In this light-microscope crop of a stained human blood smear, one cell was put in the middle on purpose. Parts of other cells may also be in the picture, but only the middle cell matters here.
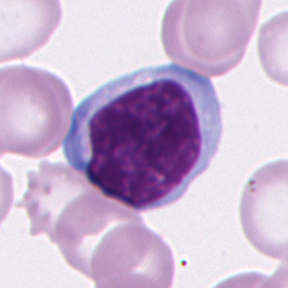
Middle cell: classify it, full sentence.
Looking at the middle of the crop, the cell there is a typical lymphocyte.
